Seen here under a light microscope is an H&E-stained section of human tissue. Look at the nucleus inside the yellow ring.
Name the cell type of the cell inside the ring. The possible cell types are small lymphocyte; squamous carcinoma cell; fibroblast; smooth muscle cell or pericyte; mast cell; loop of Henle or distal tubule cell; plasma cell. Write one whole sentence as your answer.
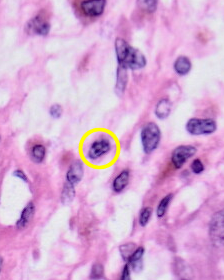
The identity of the cell inside the ring is that of a plasma cell.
